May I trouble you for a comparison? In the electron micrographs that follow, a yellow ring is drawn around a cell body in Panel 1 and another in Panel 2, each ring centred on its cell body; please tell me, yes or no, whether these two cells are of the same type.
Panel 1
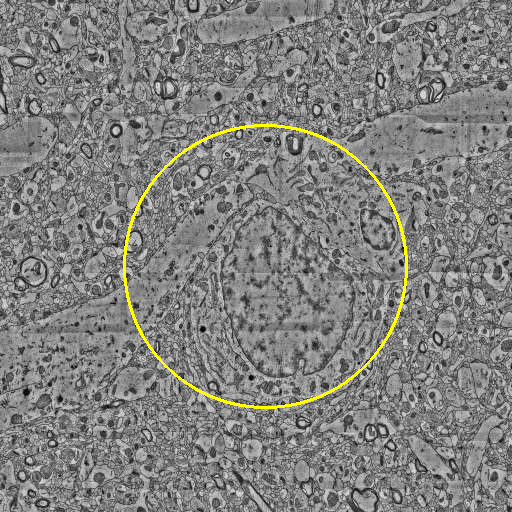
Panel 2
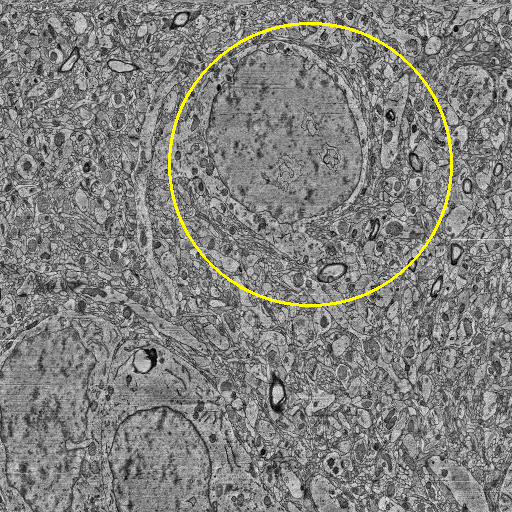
no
